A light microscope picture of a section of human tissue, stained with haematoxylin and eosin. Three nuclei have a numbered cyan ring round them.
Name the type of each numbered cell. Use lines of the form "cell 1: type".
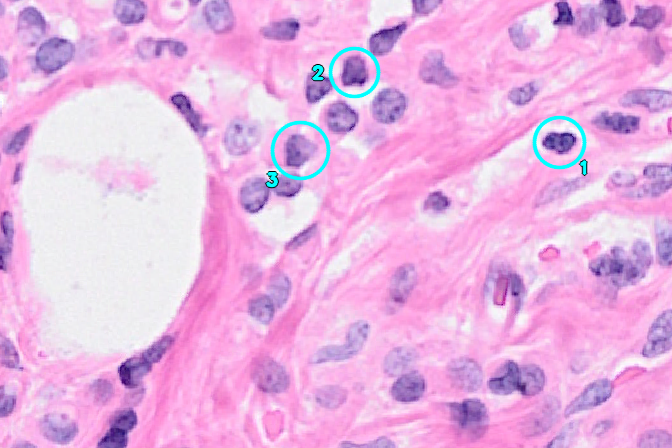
cell 1: lymphocyte
cell 2: carcinoma cell
cell 3: carcinoma cell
